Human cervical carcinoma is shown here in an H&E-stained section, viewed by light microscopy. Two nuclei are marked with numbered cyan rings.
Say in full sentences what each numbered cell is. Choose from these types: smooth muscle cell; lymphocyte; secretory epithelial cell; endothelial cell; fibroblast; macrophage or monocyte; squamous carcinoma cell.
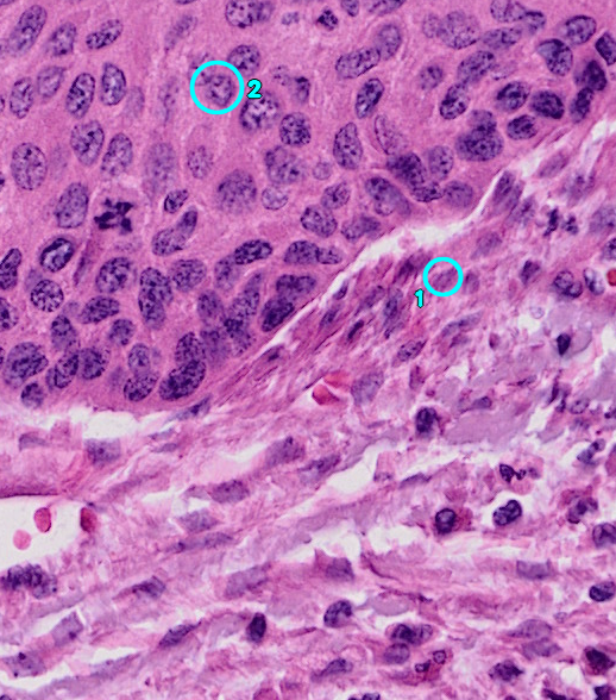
Cell 1 is a fibroblast. Cell 2 is a squamous carcinoma cell.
